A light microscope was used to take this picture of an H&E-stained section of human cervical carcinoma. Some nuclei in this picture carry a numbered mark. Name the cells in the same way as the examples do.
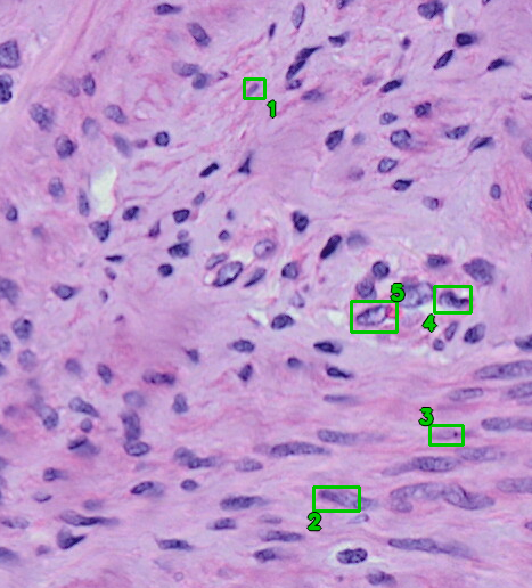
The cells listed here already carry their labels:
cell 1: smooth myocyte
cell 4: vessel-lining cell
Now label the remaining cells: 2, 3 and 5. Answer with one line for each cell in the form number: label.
2: smooth myocyte
3: smooth myocyte
5: vessel-lining cell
